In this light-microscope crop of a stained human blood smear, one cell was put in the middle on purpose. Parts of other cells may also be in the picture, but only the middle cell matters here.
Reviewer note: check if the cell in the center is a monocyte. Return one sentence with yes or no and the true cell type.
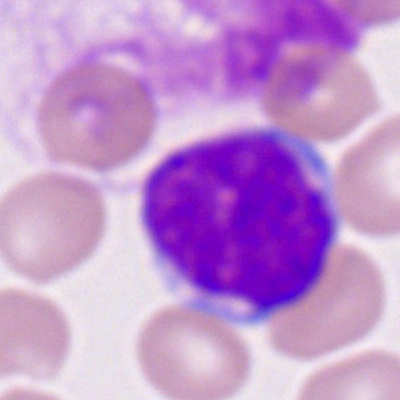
No, the cell sitting in the centre of the crop is a blast, not a monocyte.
